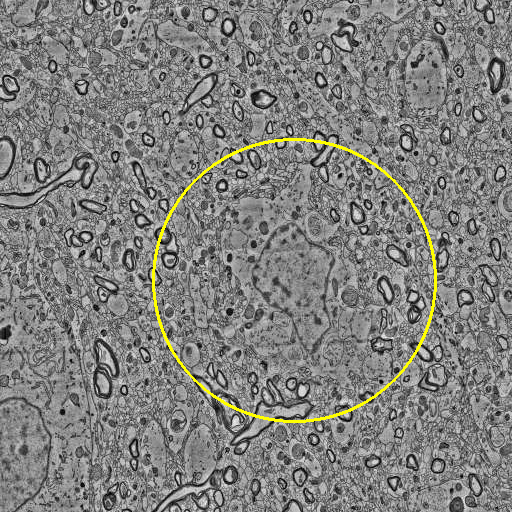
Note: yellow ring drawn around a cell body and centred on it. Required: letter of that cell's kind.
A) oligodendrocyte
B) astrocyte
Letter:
B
